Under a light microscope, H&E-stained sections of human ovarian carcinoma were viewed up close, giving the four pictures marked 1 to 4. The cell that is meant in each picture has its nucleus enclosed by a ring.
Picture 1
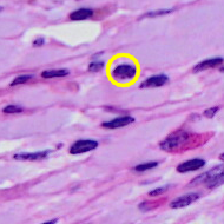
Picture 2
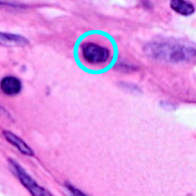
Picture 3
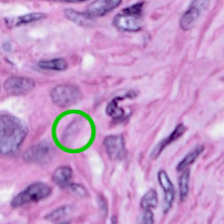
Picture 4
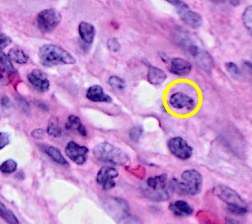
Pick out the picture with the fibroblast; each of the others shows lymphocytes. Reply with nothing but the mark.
3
